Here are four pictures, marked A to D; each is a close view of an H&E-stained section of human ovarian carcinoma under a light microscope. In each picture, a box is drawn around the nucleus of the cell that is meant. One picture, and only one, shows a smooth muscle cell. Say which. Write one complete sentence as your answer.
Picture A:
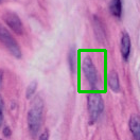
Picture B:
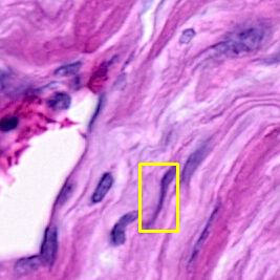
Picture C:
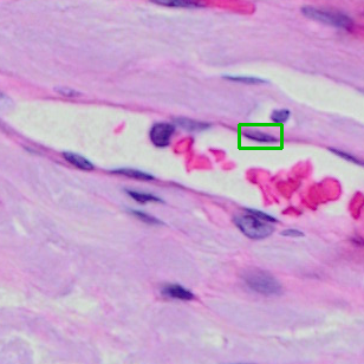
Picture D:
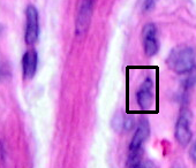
It is picture A that shows the smooth muscle cell.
